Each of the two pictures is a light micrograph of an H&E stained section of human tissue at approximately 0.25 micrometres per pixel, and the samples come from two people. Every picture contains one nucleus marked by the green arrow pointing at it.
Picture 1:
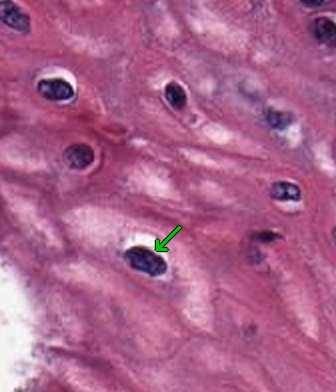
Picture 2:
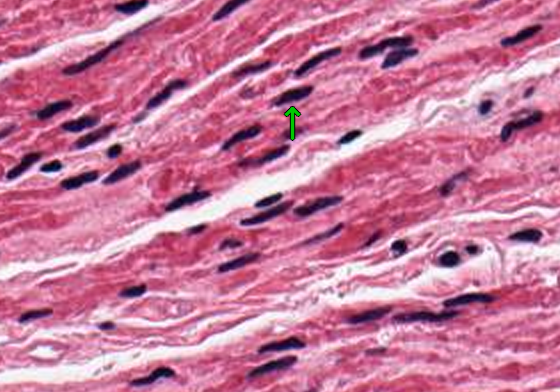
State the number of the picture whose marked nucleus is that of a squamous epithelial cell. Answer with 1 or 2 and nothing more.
1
